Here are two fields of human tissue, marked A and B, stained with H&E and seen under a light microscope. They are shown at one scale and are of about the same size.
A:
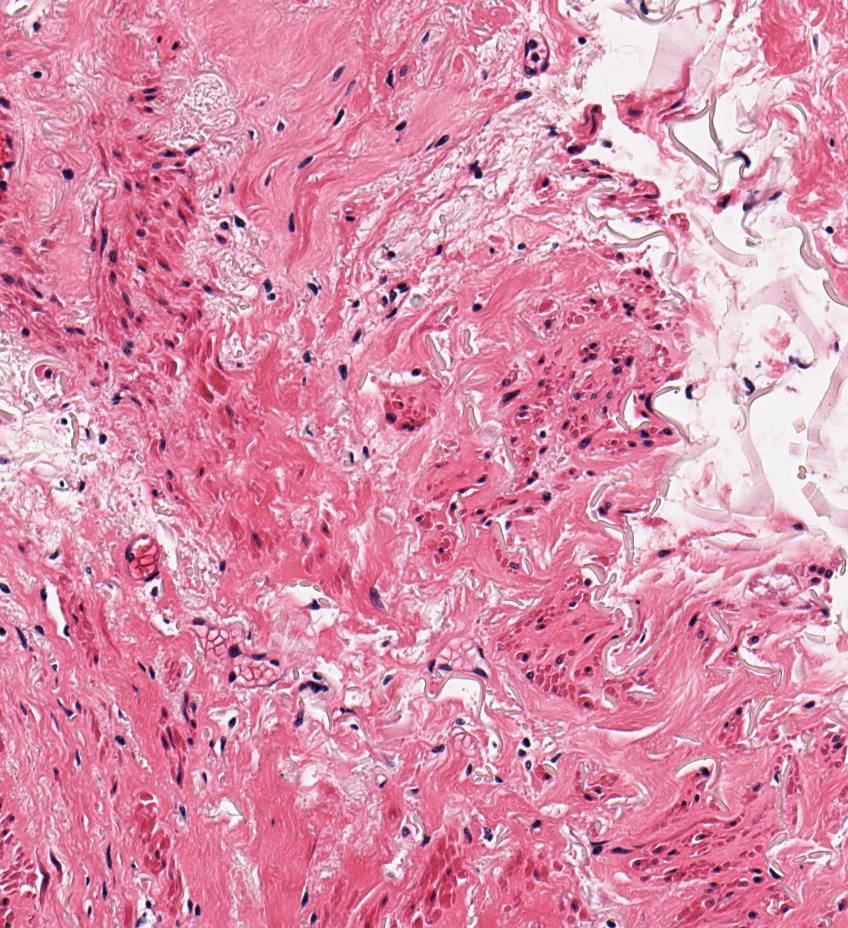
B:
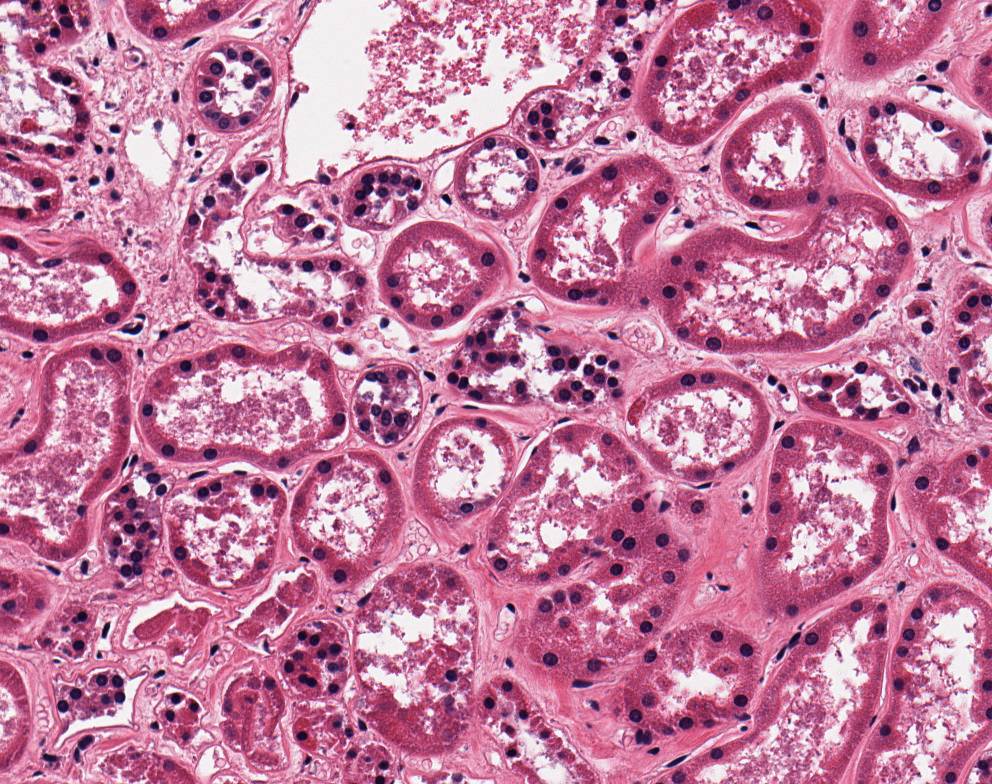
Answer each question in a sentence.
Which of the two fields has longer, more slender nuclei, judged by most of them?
It is picture A whose nuclei are the more elongated.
